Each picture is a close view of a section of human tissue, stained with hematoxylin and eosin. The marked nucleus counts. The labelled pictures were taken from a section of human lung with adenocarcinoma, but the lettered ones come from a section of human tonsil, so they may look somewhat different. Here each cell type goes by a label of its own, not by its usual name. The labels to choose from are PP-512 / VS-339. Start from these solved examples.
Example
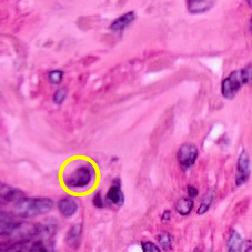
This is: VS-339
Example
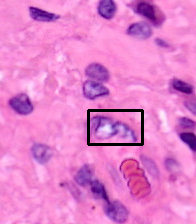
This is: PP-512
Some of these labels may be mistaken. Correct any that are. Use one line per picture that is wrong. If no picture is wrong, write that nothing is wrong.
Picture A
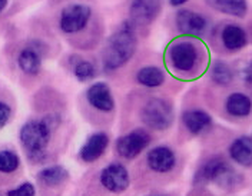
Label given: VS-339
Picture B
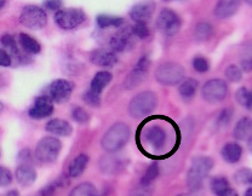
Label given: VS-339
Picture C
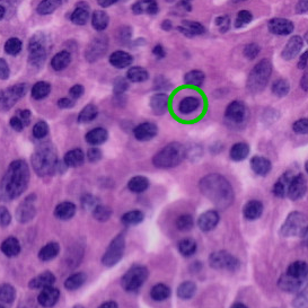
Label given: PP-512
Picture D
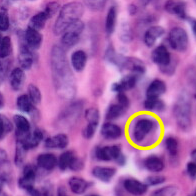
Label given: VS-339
B: PP-512, not VS-339
C: VS-339, not PP-512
